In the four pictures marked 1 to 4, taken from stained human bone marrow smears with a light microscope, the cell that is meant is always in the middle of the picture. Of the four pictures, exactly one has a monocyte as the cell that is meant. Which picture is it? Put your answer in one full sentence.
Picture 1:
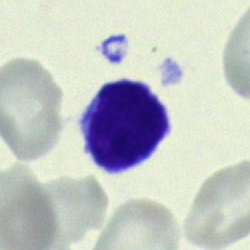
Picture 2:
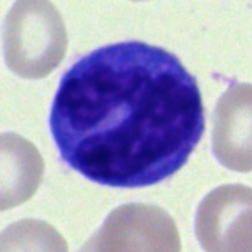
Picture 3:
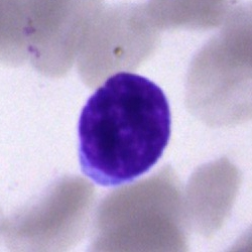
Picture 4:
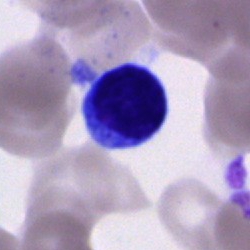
The cell in picture 2 is the monocyte.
